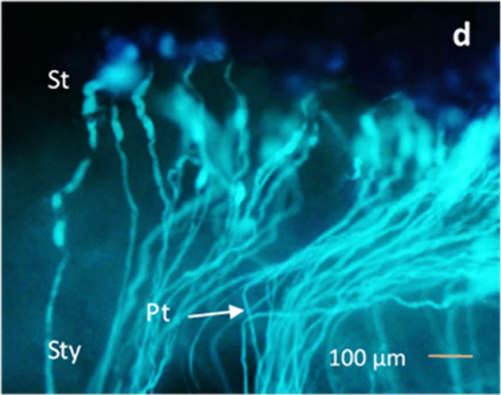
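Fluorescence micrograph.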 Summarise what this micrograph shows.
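Pistil tissue with many pollen tubes glowing cyan against a dark background. Pollen grains lie along the top edge, dimly blue. From them numerous long, slender tubes run downward, largely parallel, and on the right gather into a dense bright bundle. Some tubes show small bright swellings or beads along their length.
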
